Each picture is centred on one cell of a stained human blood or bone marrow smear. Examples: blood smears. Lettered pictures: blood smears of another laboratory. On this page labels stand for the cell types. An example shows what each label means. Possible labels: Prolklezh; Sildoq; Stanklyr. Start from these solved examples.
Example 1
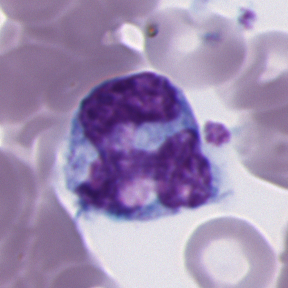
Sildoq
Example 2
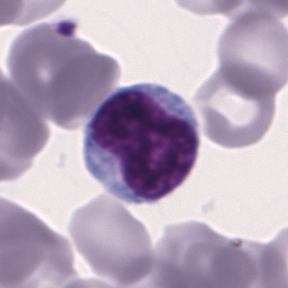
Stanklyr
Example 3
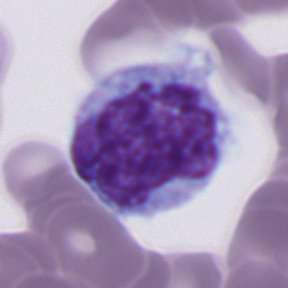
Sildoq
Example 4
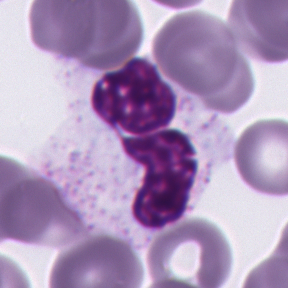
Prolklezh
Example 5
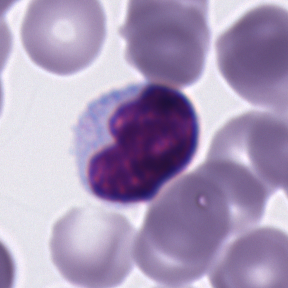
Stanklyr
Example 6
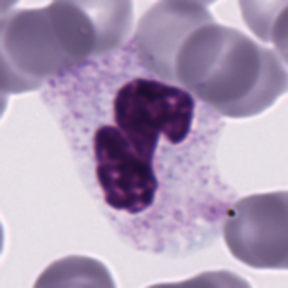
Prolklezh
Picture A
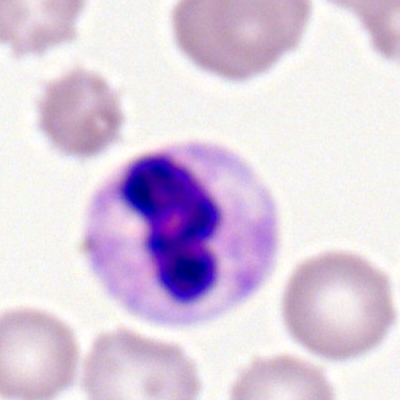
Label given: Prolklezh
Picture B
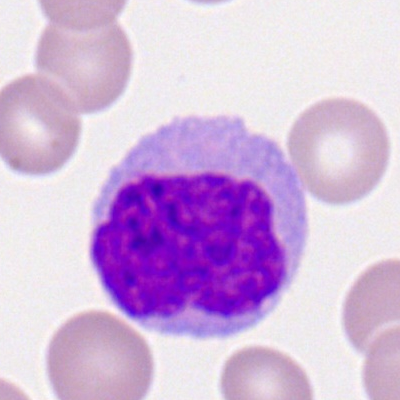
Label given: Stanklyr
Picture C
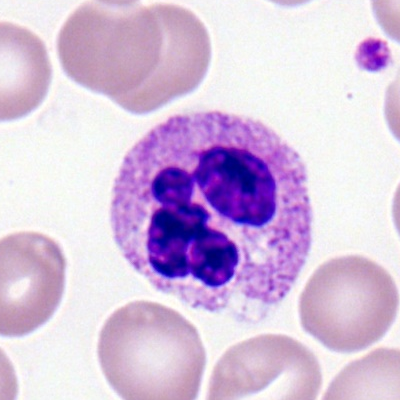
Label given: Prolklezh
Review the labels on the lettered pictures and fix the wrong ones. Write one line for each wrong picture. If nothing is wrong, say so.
B: not Stanklyr but Sildoq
